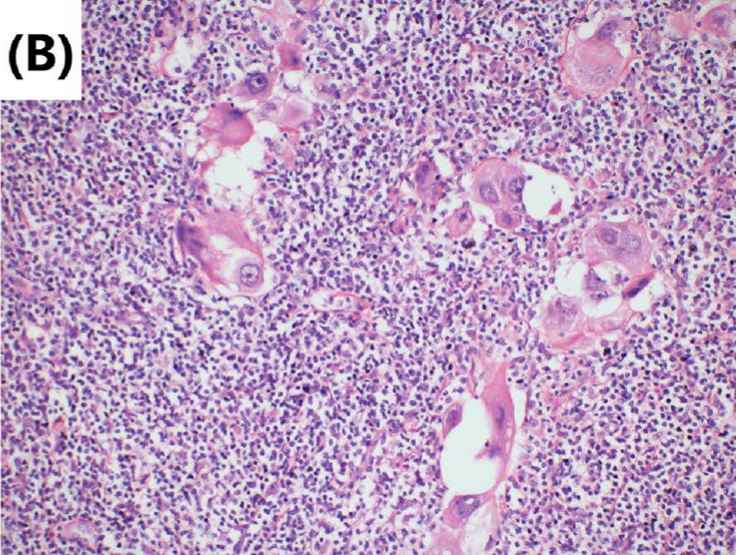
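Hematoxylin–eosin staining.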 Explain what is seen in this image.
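Large cancer cells lie scattered singly and in small groups within a dense sheet of small lymphocytes. The cancer cells have abundant pink cytoplasm and large nuclei with prominent nucleoli, and some contain more than one nucleus. Clear empty spaces and vacuoles lie within and around several of the large cells, giving them a degenerated appearance. The lymphocytes are small and round, with dark nuclei and little cytoplasm, and crowd closely around the large cells.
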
